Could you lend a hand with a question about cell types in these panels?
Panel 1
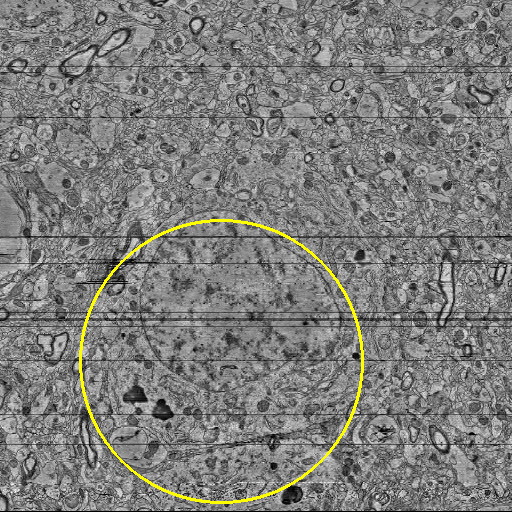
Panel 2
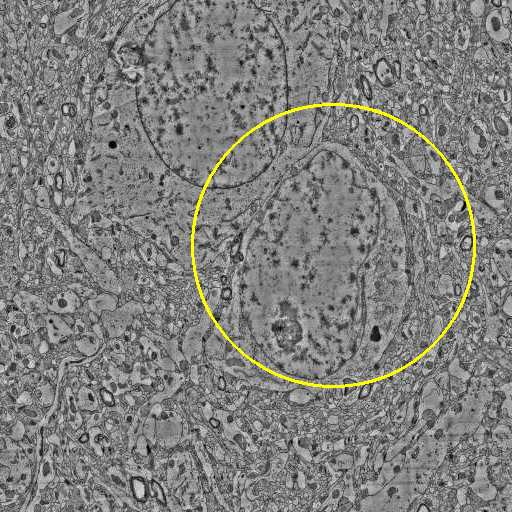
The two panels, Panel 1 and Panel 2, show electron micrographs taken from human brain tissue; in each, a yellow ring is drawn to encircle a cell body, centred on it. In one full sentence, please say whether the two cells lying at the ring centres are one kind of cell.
Yes, the cells at the ring centres in the two panels are one kind of cell.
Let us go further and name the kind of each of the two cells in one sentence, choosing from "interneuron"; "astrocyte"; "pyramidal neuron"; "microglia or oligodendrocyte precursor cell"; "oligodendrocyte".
Each of the two rings is centred on an interneuron.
